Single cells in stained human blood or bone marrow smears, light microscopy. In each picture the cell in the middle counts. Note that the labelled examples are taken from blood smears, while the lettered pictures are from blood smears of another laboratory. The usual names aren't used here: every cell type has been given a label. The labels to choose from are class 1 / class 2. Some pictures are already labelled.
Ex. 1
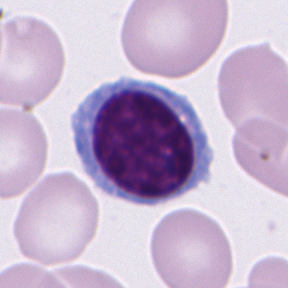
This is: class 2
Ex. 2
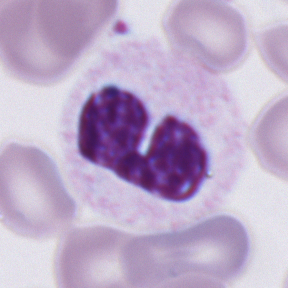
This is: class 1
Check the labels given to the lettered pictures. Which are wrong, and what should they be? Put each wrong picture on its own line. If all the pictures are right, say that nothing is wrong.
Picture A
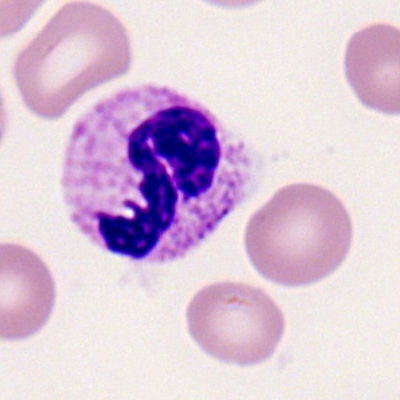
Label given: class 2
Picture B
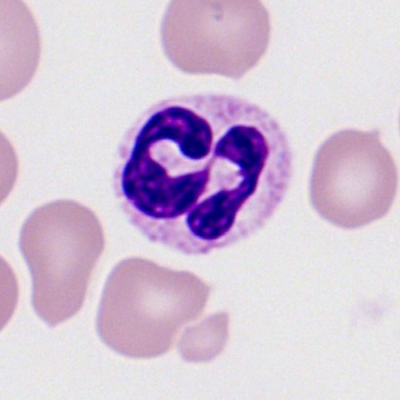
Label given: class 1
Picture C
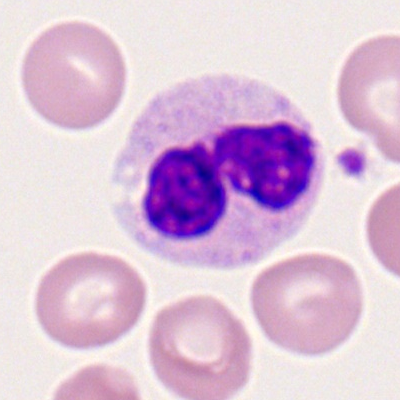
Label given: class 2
A is labelled class 2; correct label: class 1
C is labelled class 2; correct label: class 1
